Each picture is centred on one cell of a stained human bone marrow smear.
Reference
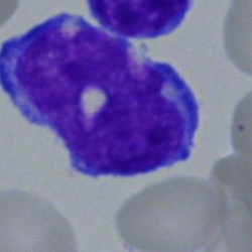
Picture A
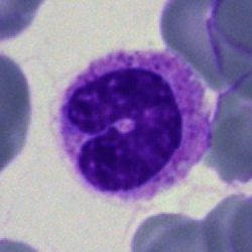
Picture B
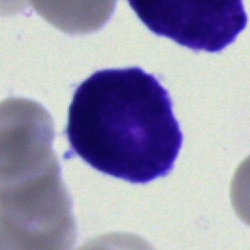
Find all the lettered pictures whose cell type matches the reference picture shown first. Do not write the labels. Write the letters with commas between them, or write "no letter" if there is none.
B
